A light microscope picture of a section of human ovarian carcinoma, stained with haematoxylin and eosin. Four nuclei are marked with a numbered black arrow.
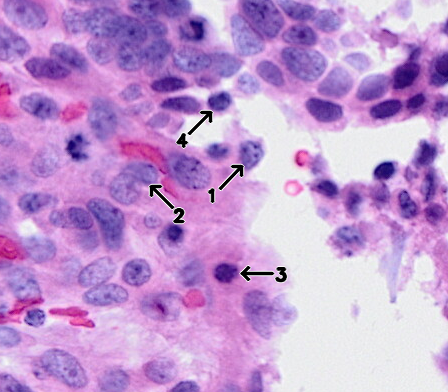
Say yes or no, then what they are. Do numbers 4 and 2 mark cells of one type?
No, cell 4 is classed as a lymphocyte and cell 2 as an endothelial cell.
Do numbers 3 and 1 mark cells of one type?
No, cell 3 is a lymphocyte whereas cell 1 is a macrophage or monocyte.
